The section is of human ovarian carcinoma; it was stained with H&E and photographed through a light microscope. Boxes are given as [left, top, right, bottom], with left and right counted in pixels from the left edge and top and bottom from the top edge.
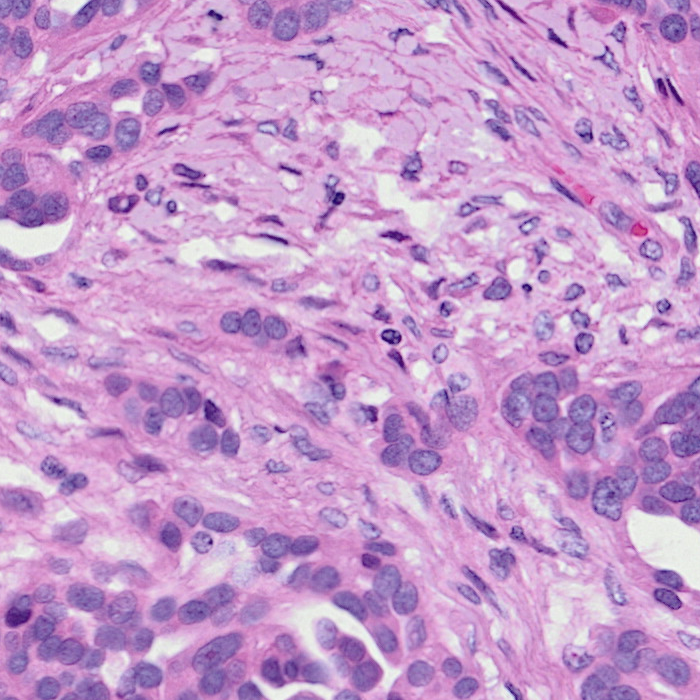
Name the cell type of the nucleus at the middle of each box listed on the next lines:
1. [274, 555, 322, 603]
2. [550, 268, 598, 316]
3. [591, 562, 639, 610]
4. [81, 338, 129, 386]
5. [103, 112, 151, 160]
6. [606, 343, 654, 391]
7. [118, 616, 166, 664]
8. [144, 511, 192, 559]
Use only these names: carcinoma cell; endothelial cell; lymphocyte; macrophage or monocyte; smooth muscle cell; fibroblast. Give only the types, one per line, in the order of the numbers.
carcinoma cell
fibroblast
fibroblast
fibroblast
carcinoma cell
fibroblast
carcinoma cell
carcinoma cell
